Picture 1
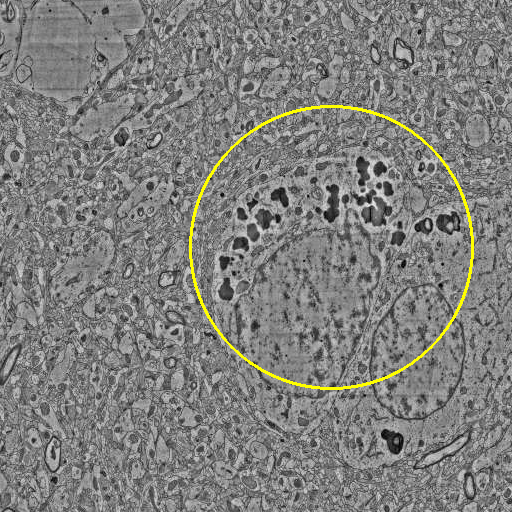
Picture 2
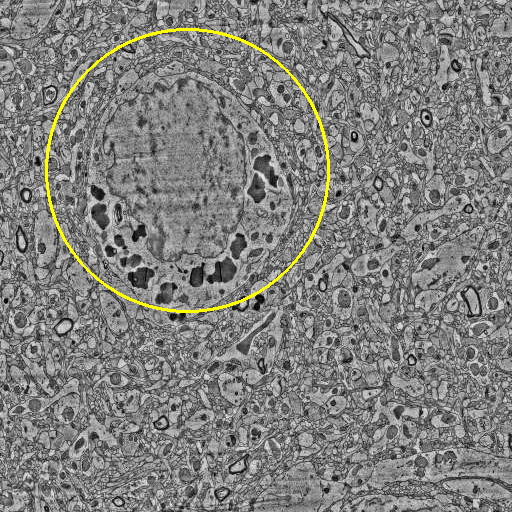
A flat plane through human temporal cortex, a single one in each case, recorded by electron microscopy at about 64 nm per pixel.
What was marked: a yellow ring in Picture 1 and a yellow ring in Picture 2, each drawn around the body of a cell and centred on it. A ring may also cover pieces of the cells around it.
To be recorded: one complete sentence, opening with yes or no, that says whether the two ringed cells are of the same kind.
Yes, the two ringed cells are of the same kind.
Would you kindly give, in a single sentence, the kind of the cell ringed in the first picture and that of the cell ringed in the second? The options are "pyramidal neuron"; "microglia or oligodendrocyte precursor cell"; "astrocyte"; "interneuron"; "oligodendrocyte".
In both pictures the ring is centred on an interneuron.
